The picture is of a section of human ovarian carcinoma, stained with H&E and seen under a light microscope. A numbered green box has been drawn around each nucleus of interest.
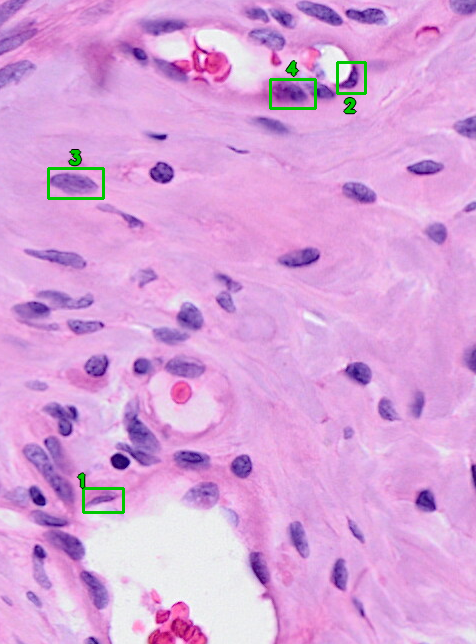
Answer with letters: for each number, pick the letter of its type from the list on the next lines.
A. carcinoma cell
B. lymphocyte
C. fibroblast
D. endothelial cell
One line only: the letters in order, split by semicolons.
D; D; C; D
